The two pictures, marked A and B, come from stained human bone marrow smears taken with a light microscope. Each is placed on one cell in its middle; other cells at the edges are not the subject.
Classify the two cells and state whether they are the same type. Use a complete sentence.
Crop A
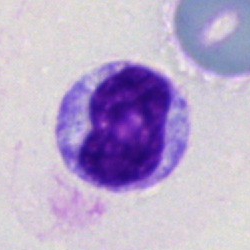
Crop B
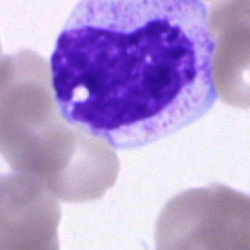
Yes, the central cells in both of the crops are metamyelocytes.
